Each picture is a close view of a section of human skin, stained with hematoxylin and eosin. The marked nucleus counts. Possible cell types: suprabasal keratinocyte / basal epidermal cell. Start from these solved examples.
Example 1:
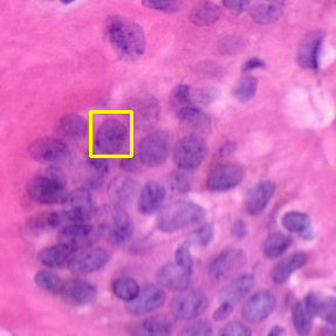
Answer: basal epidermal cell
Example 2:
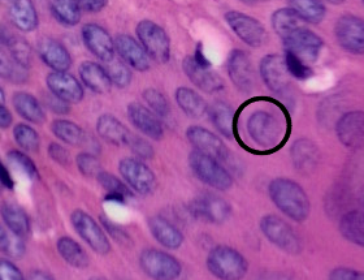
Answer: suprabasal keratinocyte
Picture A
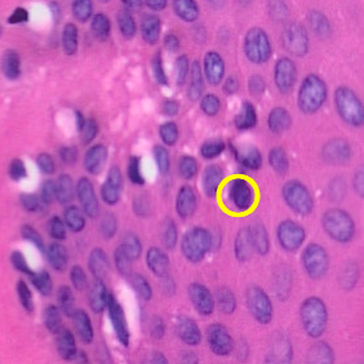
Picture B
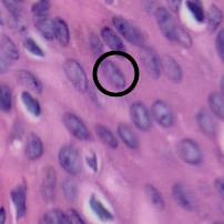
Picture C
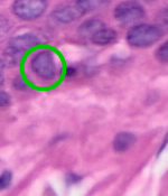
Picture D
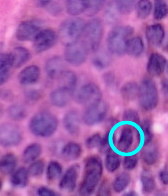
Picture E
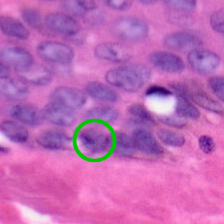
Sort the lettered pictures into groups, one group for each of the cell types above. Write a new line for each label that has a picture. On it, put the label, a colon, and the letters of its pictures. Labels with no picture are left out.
suprabasal keratinocyte: B
basal epidermal cell: A, C, D, E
